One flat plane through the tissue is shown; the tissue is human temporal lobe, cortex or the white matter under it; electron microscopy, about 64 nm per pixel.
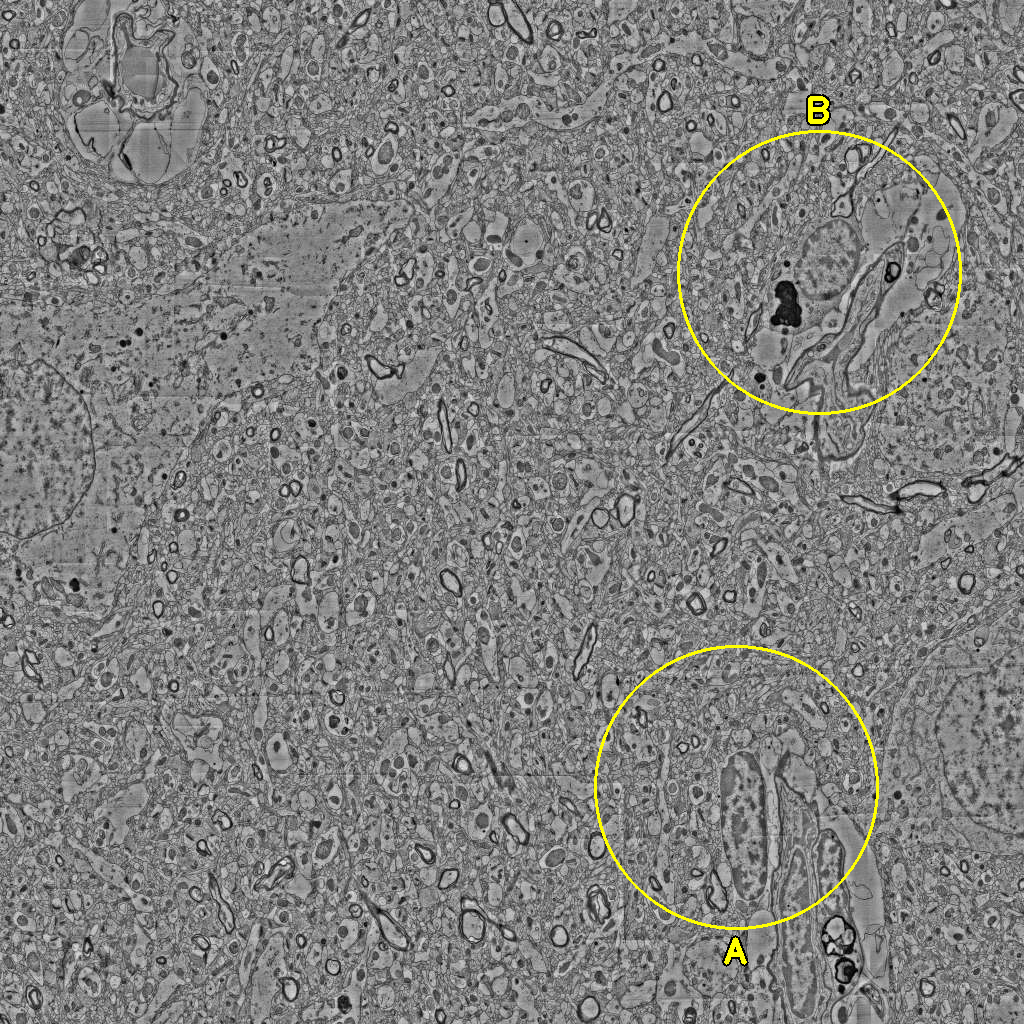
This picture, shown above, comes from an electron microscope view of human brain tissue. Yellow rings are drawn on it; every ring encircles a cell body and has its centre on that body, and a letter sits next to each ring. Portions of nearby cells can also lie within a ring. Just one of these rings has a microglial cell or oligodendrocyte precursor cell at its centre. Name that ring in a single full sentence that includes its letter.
In the picture, ring A has the cell asked for at its centre.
